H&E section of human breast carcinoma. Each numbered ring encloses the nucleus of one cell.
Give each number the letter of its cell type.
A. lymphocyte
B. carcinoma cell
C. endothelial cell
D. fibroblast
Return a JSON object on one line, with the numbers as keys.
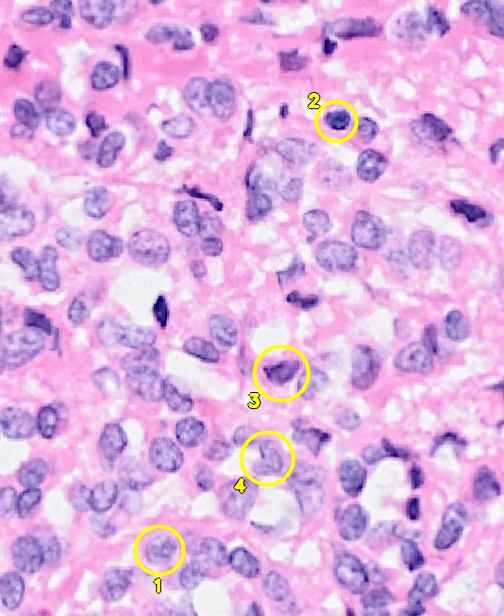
{"1": "B", "2": "A", "3": "B", "4": "B"}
